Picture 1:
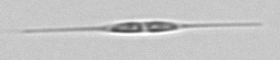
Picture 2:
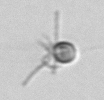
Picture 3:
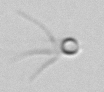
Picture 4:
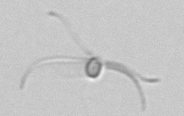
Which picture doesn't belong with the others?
Picture 1.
